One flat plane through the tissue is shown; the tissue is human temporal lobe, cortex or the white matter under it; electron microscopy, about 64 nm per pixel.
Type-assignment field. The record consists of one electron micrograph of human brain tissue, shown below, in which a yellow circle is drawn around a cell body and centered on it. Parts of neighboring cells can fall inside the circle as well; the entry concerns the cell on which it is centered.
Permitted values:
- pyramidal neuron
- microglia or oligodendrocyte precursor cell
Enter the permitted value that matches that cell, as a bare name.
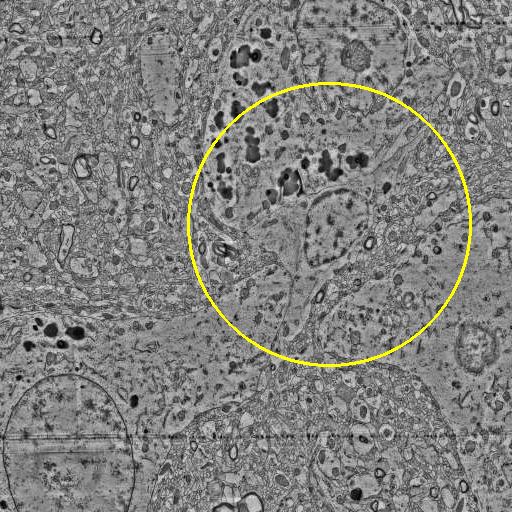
microglia or oligodendrocyte precursor cell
